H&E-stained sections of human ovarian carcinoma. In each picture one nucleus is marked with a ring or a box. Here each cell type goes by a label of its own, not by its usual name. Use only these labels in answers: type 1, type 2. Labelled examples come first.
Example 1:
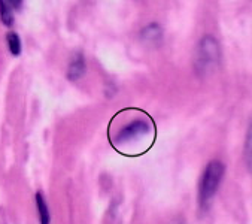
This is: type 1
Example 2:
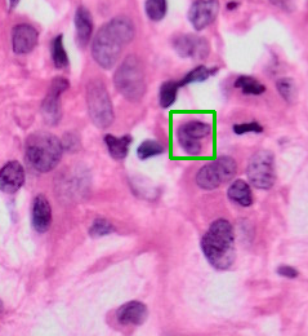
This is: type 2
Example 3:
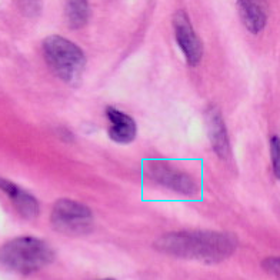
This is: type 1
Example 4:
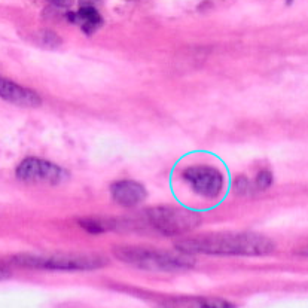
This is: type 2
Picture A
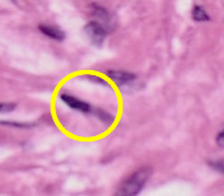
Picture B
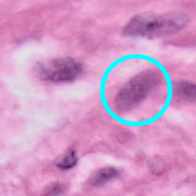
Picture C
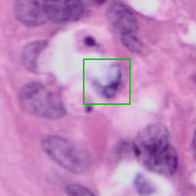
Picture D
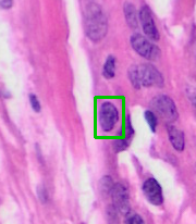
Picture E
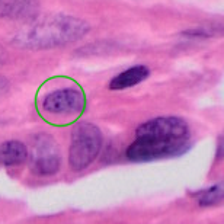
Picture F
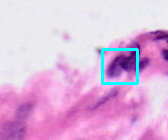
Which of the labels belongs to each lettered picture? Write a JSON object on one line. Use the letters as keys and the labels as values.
{"A": "type 1", "B": "type 1", "C": "type 2", "D": "type 2", "E": "type 2", "F": "type 2"}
